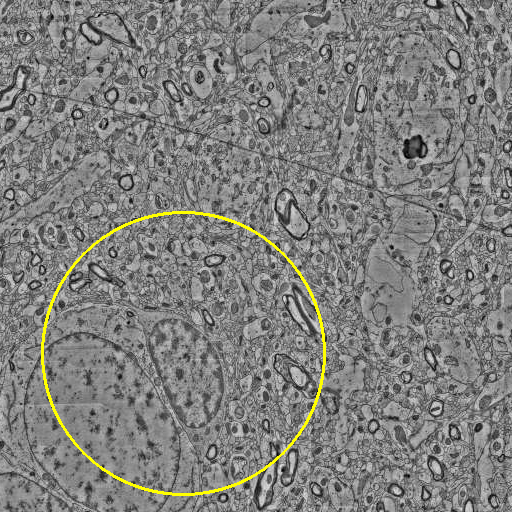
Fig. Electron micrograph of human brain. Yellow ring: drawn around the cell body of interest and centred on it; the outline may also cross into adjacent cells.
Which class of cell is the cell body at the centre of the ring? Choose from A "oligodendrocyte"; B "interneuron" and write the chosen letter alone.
A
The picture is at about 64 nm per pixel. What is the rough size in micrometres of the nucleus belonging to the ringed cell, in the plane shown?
In this plane the nucleus is clearly longer than it is wide: roughly 7 by 4 micrometres.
